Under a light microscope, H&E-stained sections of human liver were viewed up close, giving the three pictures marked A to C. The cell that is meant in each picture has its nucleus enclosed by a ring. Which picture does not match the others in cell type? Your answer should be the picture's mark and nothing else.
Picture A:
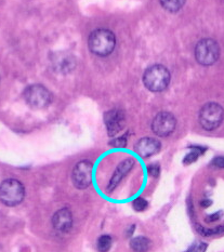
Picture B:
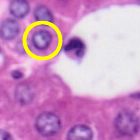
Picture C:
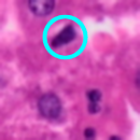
C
